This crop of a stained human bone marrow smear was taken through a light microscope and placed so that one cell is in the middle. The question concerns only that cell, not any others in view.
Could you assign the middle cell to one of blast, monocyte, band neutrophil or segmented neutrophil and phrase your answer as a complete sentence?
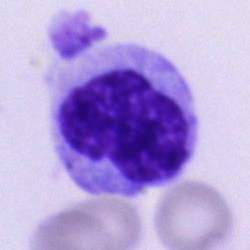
The central cell shown in this smear crop is a monocyte.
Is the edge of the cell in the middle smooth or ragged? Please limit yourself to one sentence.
The cell shows a smooth outline that lacks any surface projections.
